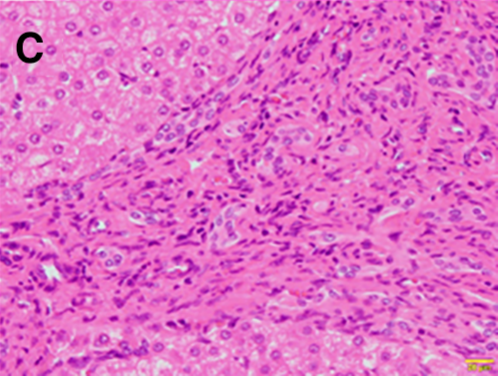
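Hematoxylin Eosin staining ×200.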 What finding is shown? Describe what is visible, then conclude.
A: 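A band of stroma crowded with small dark elongated nuclei lies between sheets of hepatocytes. Small cords and tubule-like clusters of cells with dark nuclei lie within this stroma. So: Proliferation of regenerated bile ducts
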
